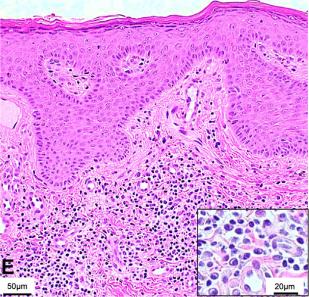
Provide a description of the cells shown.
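Skin with thickened epidermis above a dermis crowded with inflammatory cells, many of them plasma cells and lymphocytes. The epidermis is made of pink squamous keratinocytes with a thin layered keratin surface, and its lower border forms broad rete ridges. Beneath it, the upper dermis is densely infiltrated by small cells with dark round nuclei. The inset at higher power shows plasma cells: oval cells with round nuclei set to one side and plentiful purple cytoplasm, lying among small lymphocytes with scant cytoplasm.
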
